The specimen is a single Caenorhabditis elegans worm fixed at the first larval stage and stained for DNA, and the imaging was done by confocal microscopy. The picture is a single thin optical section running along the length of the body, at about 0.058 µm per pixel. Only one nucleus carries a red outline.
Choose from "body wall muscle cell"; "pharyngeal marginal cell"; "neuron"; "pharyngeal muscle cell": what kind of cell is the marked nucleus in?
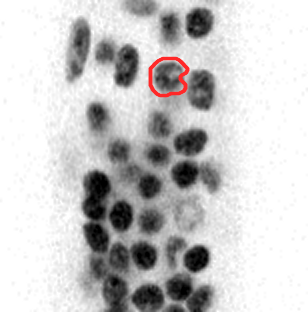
pharyngeal muscle cell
